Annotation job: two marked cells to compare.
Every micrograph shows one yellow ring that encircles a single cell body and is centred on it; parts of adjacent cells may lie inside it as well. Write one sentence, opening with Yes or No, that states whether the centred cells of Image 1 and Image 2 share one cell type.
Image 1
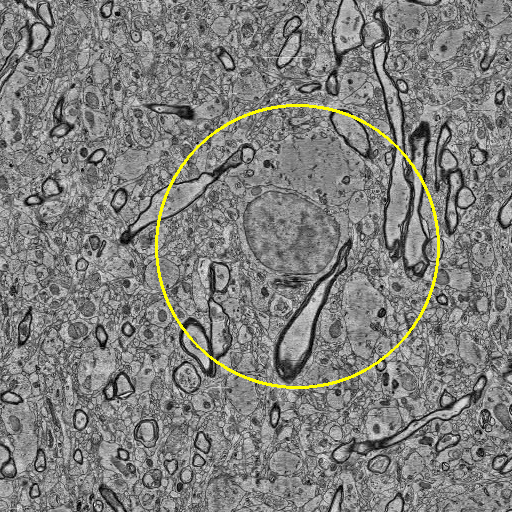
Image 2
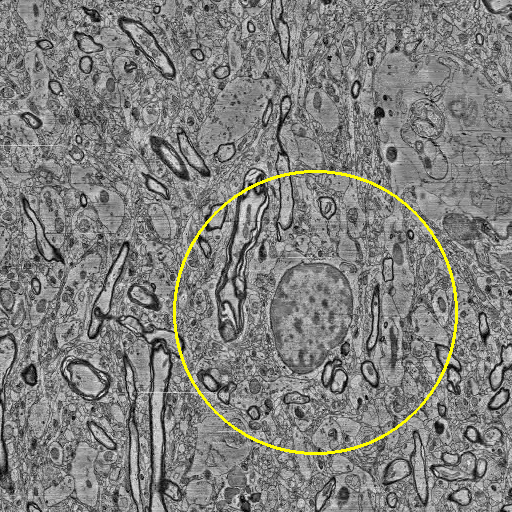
No, the cell centred in Image 1 and the cell centred in Image 2 are of two types.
